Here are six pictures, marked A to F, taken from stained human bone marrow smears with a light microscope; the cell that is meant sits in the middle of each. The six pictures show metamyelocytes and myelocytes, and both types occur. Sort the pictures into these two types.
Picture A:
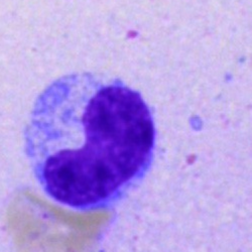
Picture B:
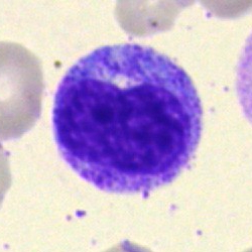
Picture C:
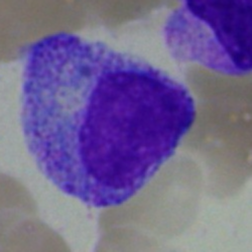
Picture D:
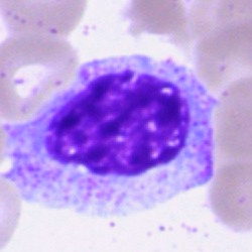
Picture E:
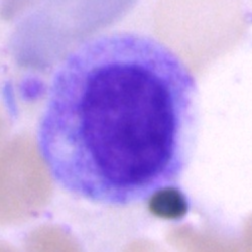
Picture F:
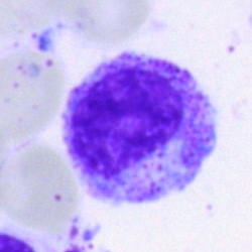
A: metamyelocyte
B: metamyelocyte
C: myelocyte
D: myelocyte
E: myelocyte
F: myelocyte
